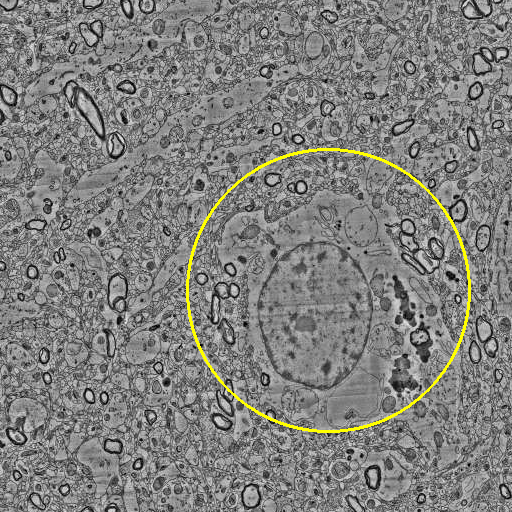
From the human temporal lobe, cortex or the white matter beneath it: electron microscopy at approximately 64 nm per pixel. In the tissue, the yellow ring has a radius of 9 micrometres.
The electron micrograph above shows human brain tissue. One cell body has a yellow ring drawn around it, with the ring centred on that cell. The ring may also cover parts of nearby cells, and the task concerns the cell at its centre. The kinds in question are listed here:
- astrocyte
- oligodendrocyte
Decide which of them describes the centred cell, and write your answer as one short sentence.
The centred cell is an astrocyte.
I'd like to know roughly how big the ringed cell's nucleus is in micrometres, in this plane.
Roughly 9 by 7 micrometres in this plane, for the nucleus of the ringed cell.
